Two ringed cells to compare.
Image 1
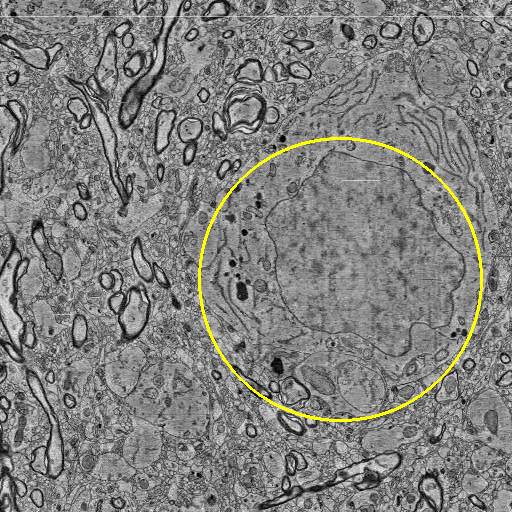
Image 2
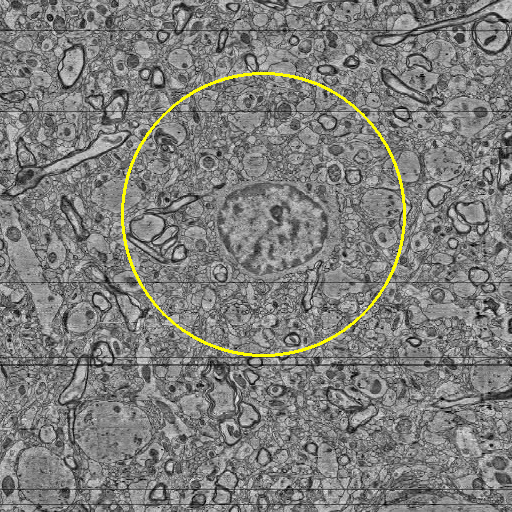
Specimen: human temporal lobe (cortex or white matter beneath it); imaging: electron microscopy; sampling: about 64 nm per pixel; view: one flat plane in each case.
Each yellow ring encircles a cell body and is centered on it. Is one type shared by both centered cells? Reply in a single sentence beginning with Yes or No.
No, two types are found among the cells at the centers of the rings.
